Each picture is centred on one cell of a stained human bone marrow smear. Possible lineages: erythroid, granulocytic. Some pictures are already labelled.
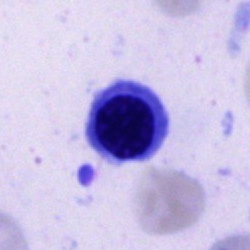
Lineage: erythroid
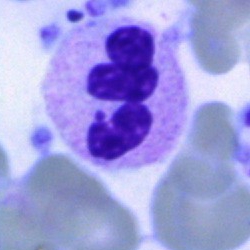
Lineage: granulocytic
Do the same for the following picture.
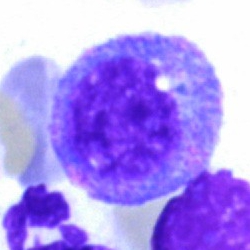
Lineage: granulocytic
